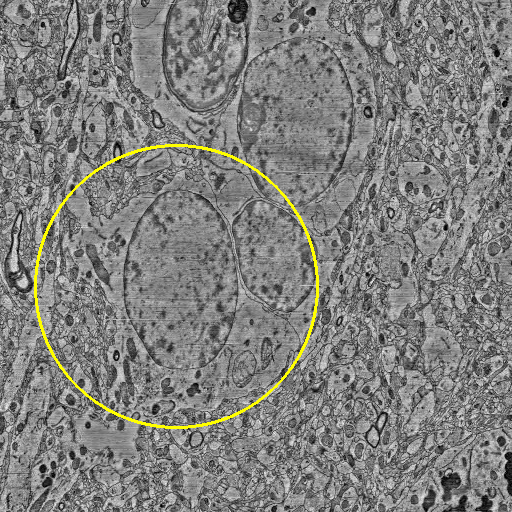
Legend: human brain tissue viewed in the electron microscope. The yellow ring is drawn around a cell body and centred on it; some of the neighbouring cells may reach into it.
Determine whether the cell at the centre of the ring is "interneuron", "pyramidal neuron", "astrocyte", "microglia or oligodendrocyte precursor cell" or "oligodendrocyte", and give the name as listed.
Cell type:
astrocyte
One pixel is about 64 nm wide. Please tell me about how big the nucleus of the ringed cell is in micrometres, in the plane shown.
About 12 by 7 micrometres; in this plane the nucleus is clearly longer than it is wide.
